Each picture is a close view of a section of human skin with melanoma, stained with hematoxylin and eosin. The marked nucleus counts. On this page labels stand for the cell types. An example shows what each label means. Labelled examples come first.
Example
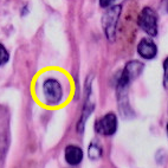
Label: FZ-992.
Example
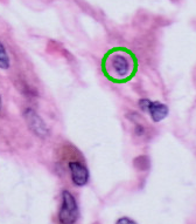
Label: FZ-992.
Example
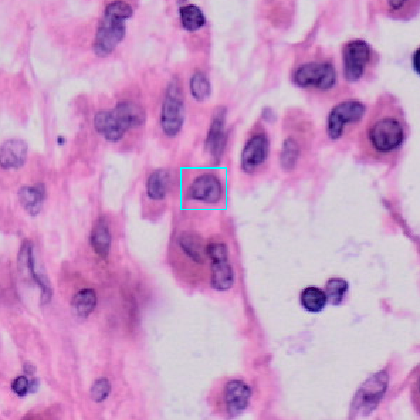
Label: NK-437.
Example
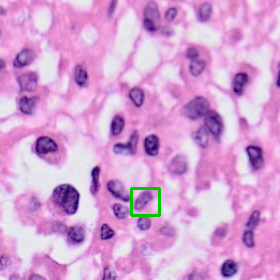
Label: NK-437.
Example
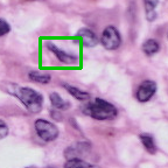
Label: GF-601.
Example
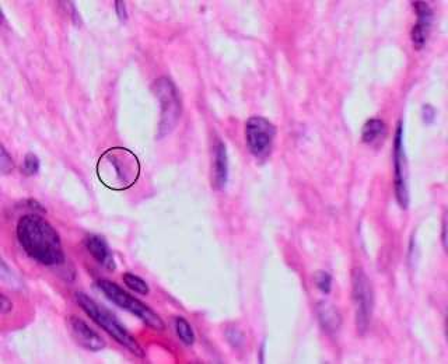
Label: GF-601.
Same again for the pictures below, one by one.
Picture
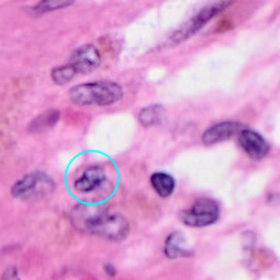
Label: FZ-992.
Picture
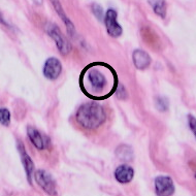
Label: FZ-992.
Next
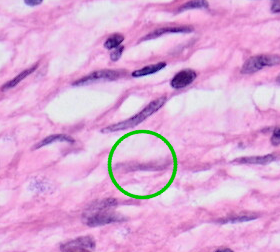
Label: GF-601.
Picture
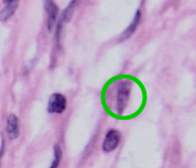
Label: GF-601.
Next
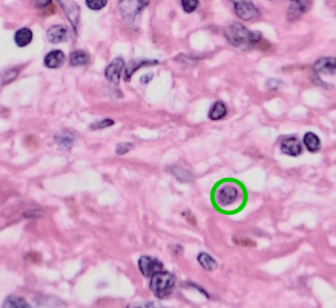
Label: NK-437.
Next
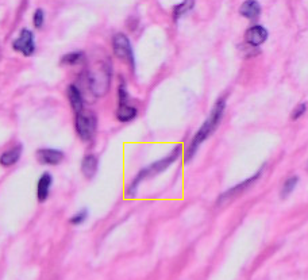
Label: GF-601.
